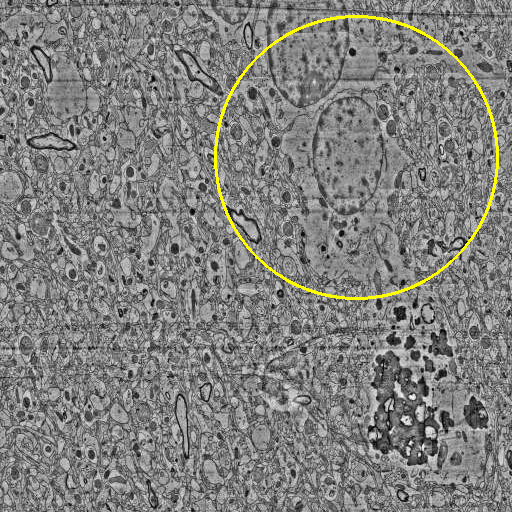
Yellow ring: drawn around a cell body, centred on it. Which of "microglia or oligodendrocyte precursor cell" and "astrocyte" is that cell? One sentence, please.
That cell body is from an astrocyte.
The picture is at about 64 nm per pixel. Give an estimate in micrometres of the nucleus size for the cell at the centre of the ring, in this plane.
About 7 by 5 micrometers; the nucleus is clearly longer than it is wide in this plane.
